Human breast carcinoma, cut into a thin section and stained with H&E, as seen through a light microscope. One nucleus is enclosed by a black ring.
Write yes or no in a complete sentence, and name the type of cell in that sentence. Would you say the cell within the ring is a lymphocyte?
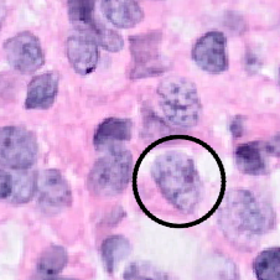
No, the cell within the ring is scored as a carcinoma cell and not as a lymphocyte.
